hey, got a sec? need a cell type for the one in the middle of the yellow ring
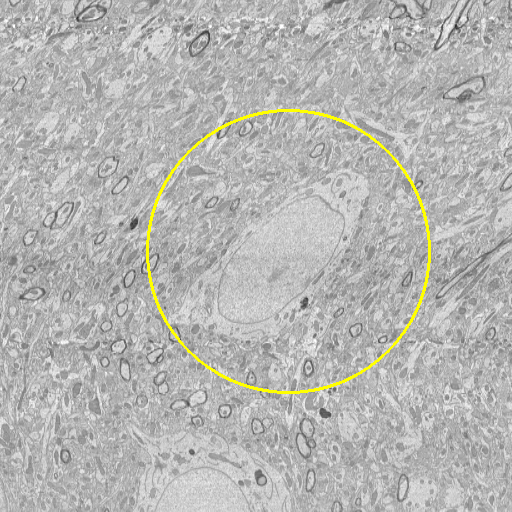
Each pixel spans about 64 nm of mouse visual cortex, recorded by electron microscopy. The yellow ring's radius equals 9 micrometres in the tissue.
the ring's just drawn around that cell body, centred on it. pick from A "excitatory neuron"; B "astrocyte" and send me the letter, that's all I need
A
